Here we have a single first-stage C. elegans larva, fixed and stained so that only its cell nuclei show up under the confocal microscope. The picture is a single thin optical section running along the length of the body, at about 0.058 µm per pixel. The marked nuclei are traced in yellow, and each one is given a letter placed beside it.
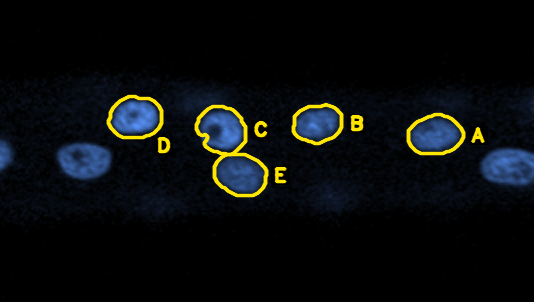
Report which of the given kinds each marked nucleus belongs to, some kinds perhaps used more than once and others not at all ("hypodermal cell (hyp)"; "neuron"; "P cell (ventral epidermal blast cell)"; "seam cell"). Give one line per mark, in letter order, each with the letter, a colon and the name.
A: seam cell
B: P cell (ventral epidermal blast cell)
C: seam cell
D: P cell (ventral epidermal blast cell)
E: hypodermal cell (hyp)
